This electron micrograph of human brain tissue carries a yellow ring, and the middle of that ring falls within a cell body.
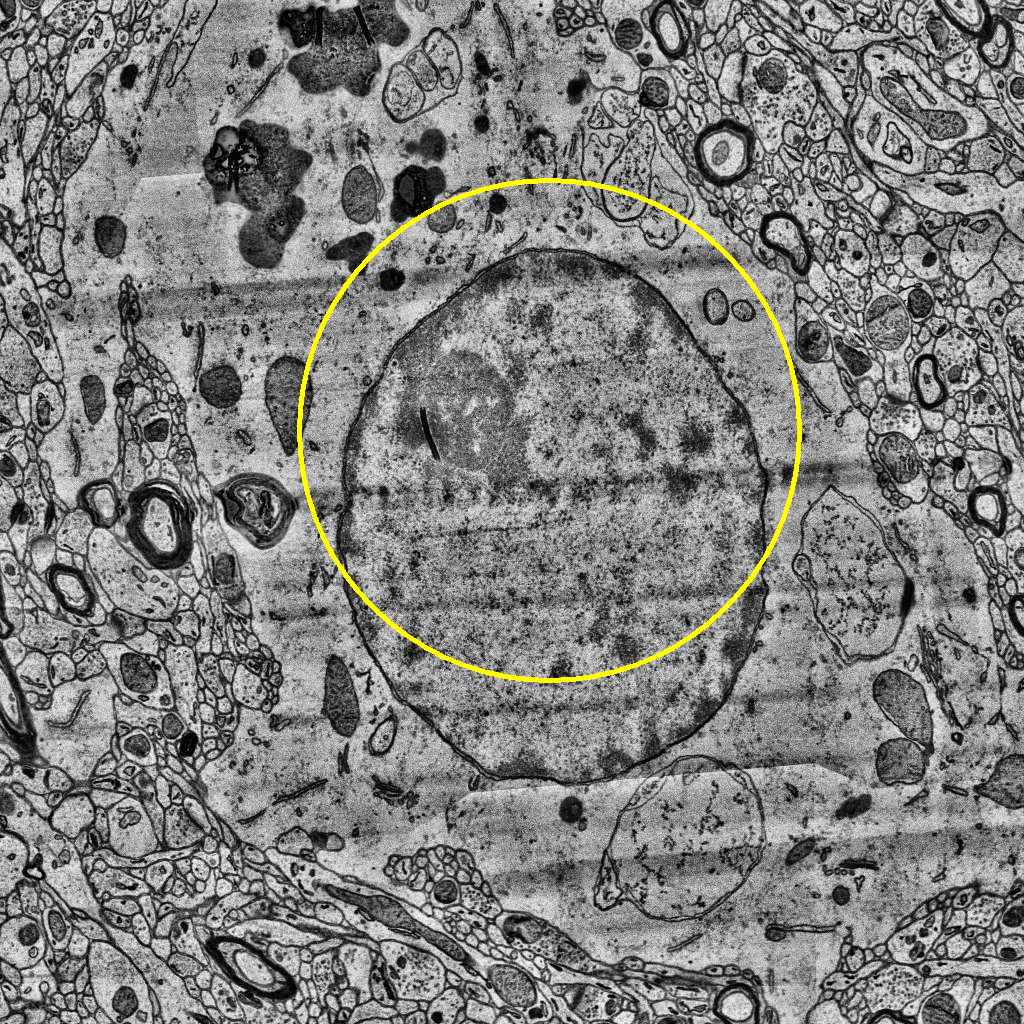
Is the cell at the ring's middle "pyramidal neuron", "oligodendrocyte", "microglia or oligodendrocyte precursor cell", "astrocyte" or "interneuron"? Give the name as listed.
astrocyte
